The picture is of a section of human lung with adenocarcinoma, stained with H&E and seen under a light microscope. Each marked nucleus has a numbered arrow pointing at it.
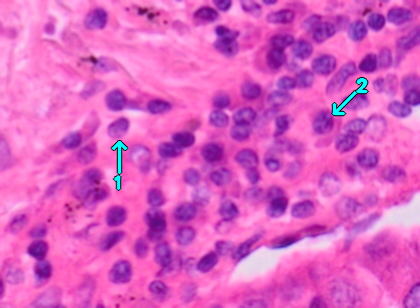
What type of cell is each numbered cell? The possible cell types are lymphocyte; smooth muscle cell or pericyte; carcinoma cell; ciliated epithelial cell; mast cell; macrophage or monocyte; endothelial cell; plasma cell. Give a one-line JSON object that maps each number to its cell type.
{"1": "lymphocyte", "2": "plasma cell"}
